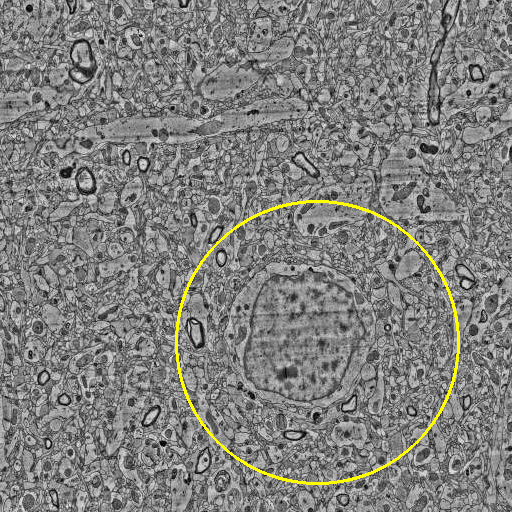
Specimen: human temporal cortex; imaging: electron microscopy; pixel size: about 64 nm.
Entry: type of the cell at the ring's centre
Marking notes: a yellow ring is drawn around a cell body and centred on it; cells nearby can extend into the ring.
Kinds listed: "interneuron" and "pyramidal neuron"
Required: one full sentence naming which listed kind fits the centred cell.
My entry names an interneuron as the cell whose body the yellow ring centres on.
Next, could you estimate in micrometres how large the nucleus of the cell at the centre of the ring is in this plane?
Roughly 8 micrometers across, in this plane.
